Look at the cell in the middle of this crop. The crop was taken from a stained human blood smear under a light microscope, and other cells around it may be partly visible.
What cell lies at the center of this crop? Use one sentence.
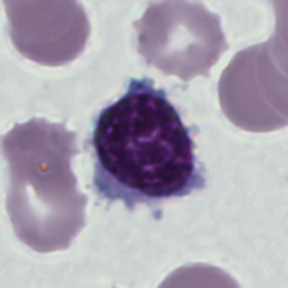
The identification for the central cell is a plasma cell.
